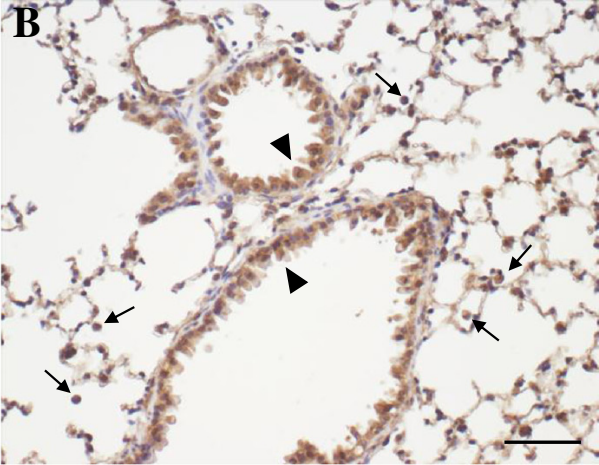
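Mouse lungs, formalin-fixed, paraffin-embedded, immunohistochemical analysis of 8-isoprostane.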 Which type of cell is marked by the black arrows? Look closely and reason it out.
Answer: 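The arrows point to small rounded cells lying in or against alveolar walls. These cells are separate from the airway lining. The answer: inflammatory cells.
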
